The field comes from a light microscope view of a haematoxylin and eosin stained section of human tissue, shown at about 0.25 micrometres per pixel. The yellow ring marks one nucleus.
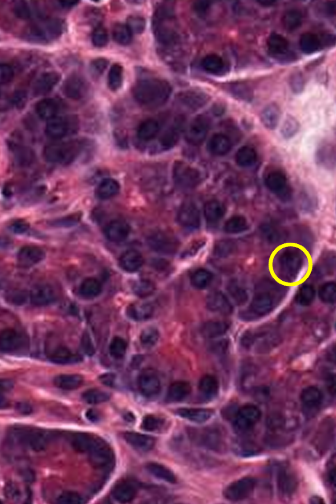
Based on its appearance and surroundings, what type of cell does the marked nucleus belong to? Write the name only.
pancreatic acinar cell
